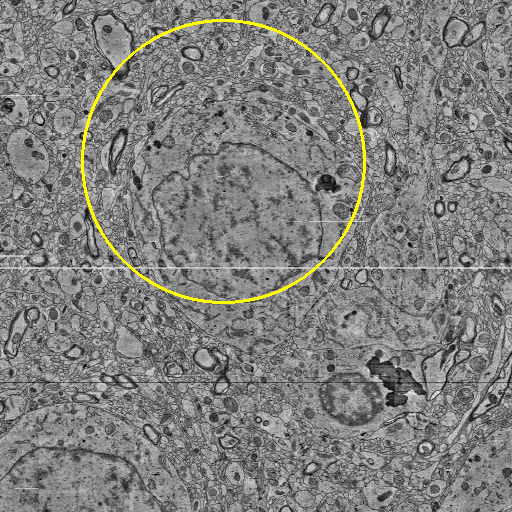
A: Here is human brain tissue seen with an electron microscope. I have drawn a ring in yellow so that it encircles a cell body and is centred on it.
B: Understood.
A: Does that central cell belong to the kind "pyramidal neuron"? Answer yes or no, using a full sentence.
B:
Yes, the central cell inside your yellow ring belongs to that kind.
